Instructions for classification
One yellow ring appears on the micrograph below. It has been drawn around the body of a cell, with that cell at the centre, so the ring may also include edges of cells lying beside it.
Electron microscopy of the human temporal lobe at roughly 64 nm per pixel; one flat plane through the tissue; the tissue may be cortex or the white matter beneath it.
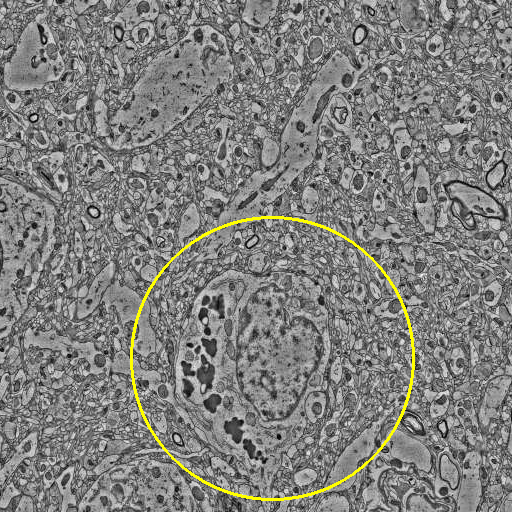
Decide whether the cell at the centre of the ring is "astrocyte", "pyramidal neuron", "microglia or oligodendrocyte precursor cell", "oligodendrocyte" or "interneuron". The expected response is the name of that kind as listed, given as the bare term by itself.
interneuron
